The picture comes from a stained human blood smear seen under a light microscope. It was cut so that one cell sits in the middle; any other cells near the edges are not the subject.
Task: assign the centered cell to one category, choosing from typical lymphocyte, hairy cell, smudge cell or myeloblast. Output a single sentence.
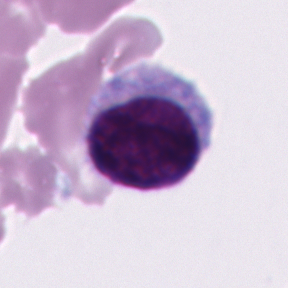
The cell of interest, in the center, is a hairy cell.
